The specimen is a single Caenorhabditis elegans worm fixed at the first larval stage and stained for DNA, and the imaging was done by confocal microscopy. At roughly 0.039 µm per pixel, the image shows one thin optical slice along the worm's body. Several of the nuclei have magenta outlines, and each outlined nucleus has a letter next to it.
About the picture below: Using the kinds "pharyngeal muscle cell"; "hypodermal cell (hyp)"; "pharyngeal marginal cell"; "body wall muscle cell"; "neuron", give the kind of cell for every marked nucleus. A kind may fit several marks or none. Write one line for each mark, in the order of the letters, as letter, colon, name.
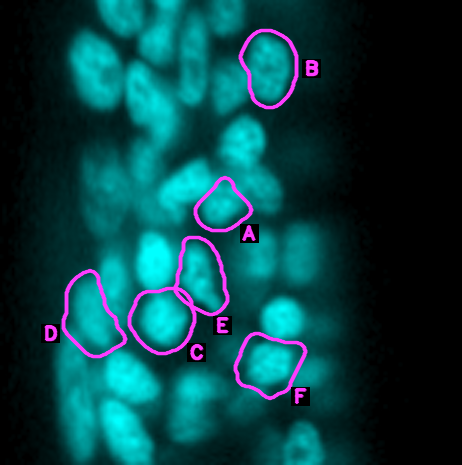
A: pharyngeal marginal cell
B: body wall muscle cell
C: neuron
D: neuron
E: pharyngeal muscle cell
F: neuron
